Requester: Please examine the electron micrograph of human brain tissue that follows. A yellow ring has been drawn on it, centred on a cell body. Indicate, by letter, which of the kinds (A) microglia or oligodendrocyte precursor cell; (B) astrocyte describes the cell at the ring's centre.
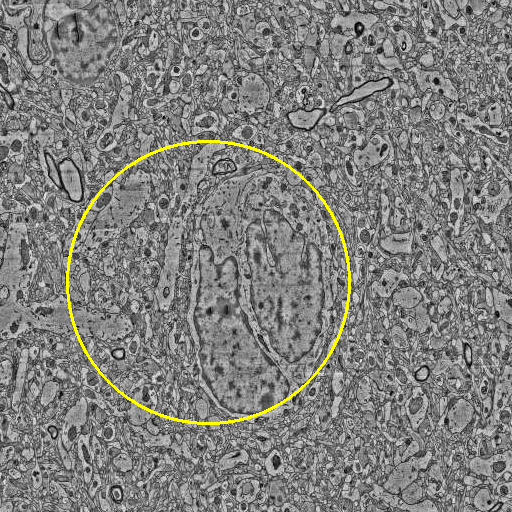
A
